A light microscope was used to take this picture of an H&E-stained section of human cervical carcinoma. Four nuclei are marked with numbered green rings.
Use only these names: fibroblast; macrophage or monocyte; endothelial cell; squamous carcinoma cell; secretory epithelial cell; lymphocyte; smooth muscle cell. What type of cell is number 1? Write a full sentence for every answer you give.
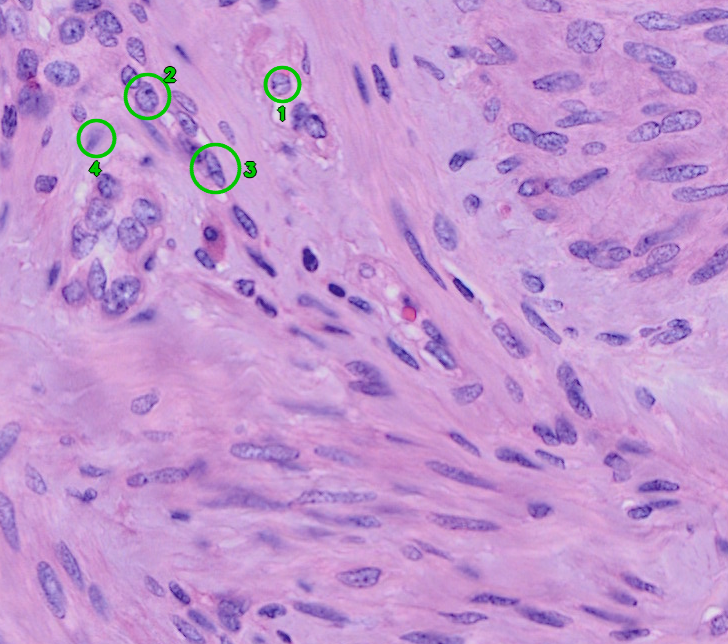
Cell 1, as marked in the section, is an endothelial cell.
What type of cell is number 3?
The cell indicated with the number 3 is classed as an endothelial cell.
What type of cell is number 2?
The marked cell bearing number 2 is an endothelial cell.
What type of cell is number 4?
Corresponding to a fibroblast is the cell labelled 4.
